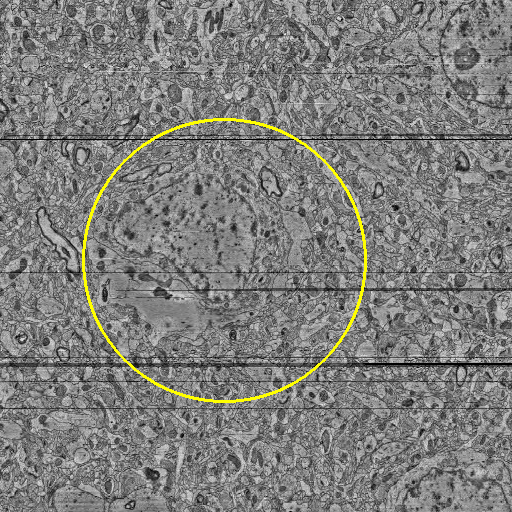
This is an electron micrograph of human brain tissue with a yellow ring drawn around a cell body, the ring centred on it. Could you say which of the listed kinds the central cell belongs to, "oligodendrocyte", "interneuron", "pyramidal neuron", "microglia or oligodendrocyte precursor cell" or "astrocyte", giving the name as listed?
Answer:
interneuron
